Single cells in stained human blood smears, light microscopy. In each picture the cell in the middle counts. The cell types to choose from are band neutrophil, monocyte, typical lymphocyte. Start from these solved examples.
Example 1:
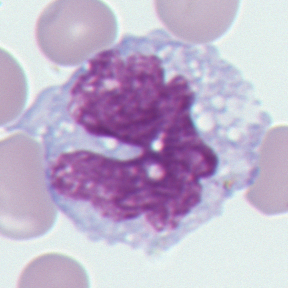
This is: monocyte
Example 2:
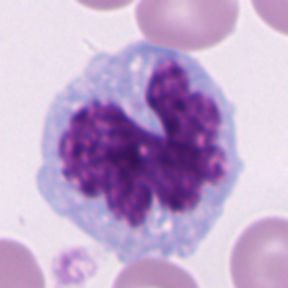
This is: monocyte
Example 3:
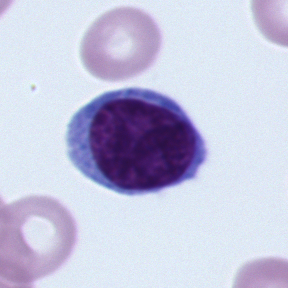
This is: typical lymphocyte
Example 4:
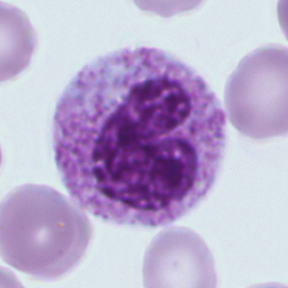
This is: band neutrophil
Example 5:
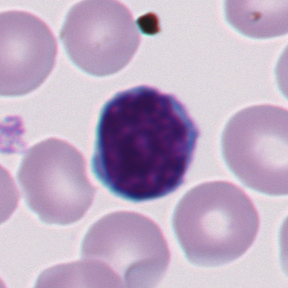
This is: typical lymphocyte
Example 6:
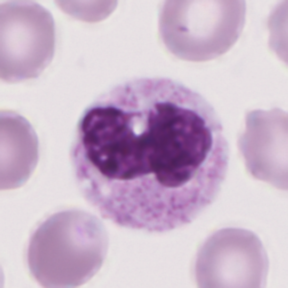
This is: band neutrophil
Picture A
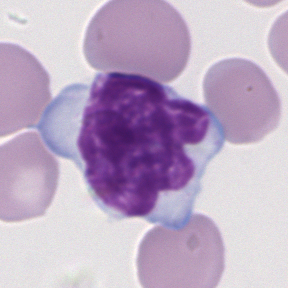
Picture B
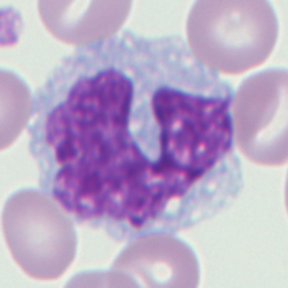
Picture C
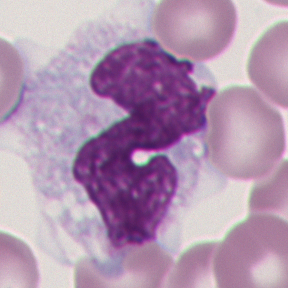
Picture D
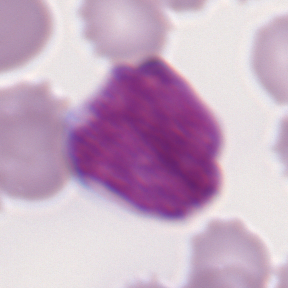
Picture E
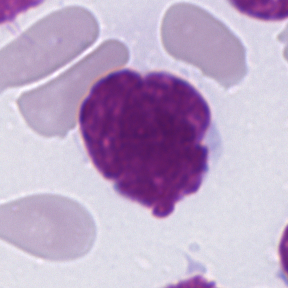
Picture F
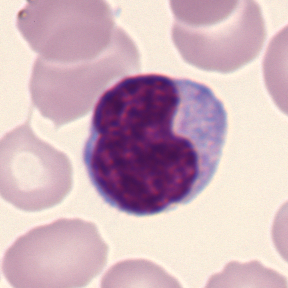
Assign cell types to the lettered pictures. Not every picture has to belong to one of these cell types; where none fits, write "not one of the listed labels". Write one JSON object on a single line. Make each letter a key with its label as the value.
{"A": "not one of the listed labels", "B": "monocyte", "C": "monocyte", "D": "not one of the listed labels", "E": "not one of the listed labels", "F": "typical lymphocyte"}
